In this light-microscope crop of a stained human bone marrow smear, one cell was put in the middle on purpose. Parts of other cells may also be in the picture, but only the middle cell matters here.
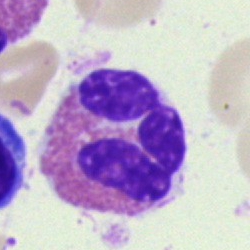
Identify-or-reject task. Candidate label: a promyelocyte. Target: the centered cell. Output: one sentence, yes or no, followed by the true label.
No, the central cell is an eosinophil; it should not be labelled a promyelocyte.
